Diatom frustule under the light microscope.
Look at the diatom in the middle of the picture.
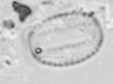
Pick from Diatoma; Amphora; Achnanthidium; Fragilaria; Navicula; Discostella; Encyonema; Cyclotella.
Amphora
